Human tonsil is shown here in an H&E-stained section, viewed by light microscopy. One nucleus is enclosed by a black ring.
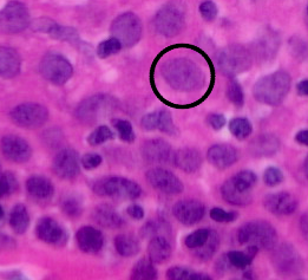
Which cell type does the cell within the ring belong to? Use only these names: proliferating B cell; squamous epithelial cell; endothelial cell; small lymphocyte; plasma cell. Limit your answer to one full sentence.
In this section of tissue, the cell within the ring is a squamous epithelial cell.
